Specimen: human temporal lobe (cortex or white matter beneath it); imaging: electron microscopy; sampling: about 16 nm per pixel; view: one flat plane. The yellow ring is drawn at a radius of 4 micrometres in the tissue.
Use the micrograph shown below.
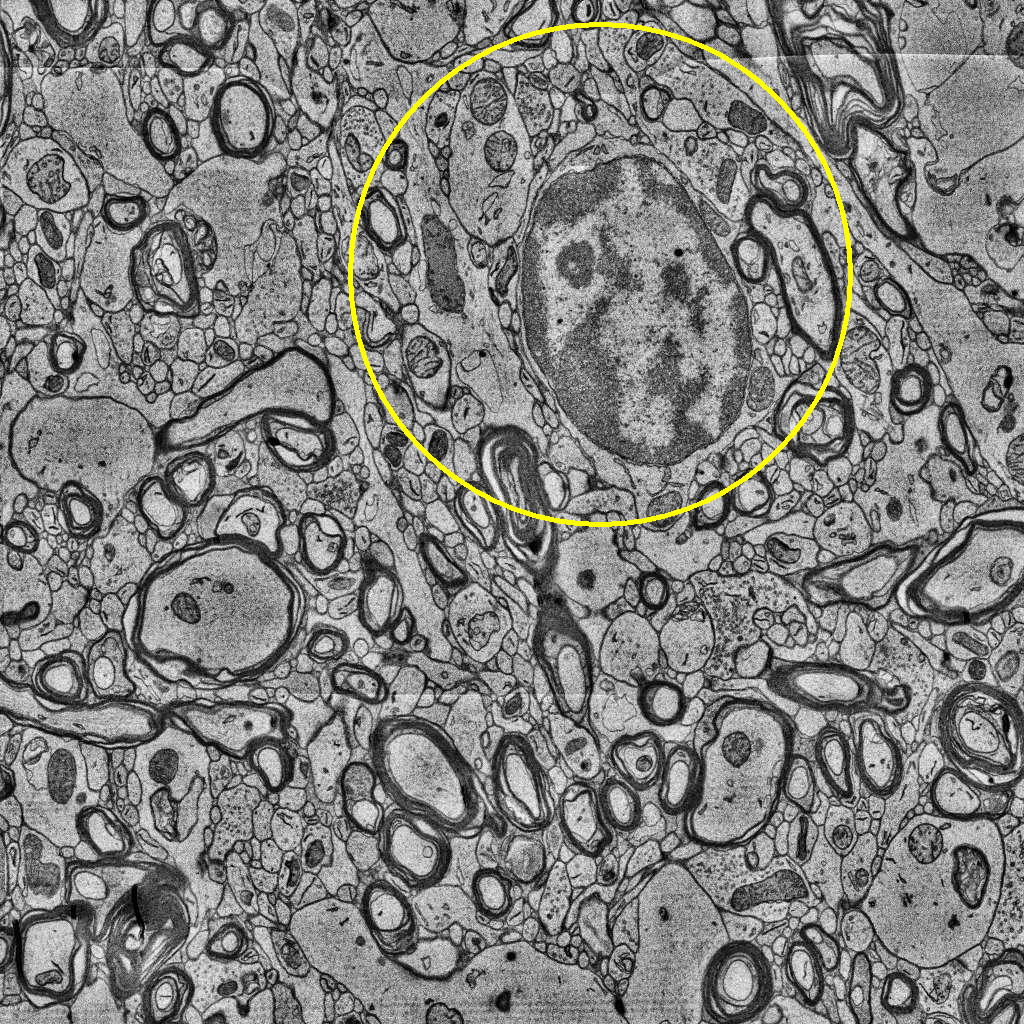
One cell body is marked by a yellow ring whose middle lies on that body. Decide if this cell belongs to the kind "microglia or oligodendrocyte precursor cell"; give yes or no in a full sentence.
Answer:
Yes, the cell at the ring's middle in the micrograph is of the kind given.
